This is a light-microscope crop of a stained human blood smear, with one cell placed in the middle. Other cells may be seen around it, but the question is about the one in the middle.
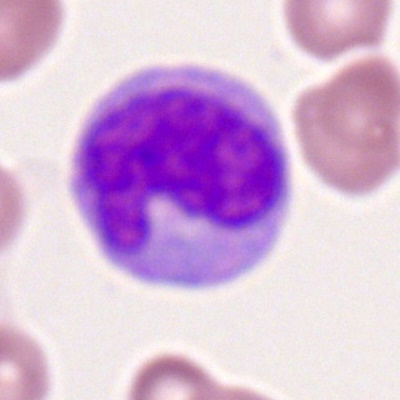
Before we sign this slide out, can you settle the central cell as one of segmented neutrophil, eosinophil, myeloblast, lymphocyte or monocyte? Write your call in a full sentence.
The middle of this crop holds a monocyte.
